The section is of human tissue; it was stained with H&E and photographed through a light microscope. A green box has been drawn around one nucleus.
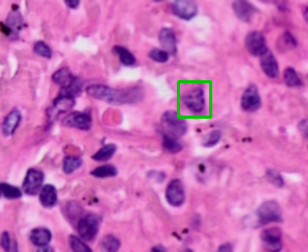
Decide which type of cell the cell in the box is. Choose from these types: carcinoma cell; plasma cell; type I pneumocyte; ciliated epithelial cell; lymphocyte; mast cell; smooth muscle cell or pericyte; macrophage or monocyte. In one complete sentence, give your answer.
Speaking plainly, the cell in the box is nothing other than a plasma cell.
